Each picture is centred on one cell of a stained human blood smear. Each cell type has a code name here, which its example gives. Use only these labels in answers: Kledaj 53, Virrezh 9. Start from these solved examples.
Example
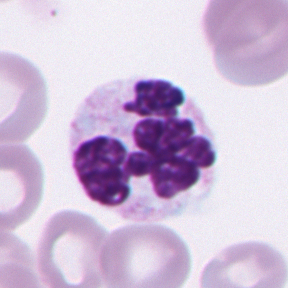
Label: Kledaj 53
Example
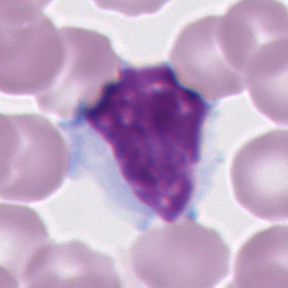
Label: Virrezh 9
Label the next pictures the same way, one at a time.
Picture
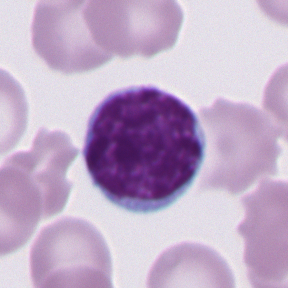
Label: Virrezh 9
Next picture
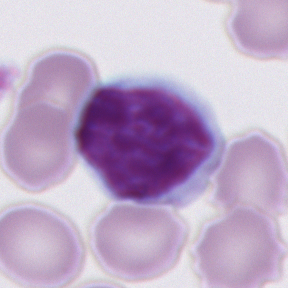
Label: Virrezh 9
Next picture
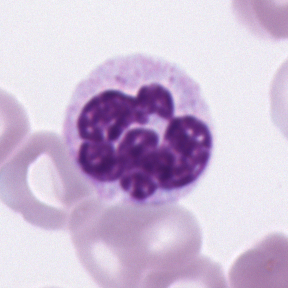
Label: Kledaj 53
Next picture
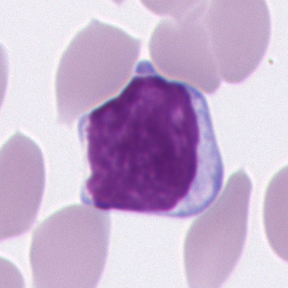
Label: Virrezh 9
